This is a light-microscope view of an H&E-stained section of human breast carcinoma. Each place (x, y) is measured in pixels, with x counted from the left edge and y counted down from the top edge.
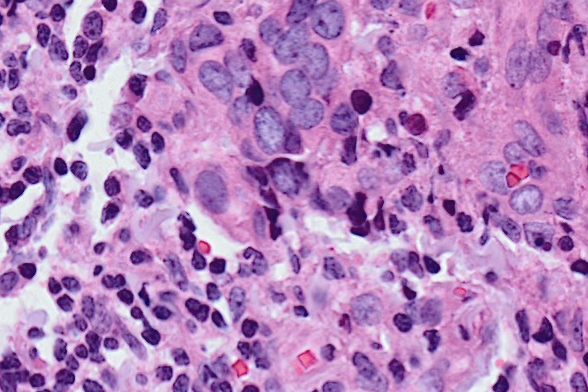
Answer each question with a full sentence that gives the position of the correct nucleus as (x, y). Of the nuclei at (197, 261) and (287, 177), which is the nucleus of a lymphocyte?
The nucleus at (197, 261) belongs to a lymphocyte, which distinguishes it from the other nucleus.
